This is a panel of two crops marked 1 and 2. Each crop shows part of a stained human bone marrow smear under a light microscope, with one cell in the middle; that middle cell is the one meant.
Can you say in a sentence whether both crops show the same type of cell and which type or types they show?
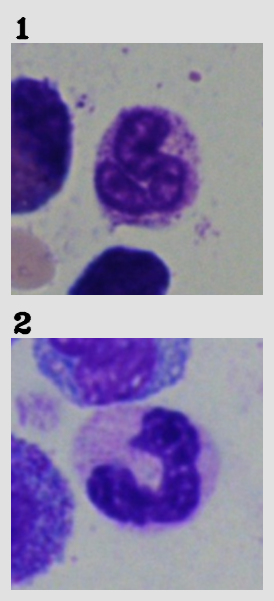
Yes, the middle cells in the two crops are segmented neutrophils.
